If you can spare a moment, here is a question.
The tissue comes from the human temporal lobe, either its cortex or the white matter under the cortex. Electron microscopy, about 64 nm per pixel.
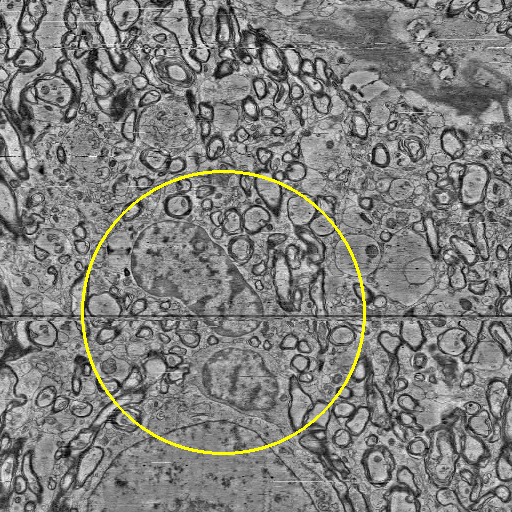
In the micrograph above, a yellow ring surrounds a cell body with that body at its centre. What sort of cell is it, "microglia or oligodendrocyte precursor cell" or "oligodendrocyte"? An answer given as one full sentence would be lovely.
Centred inside the yellow ring, the cell body shown belongs to a microglial cell or oligodendrocyte precursor cell in this micrograph.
